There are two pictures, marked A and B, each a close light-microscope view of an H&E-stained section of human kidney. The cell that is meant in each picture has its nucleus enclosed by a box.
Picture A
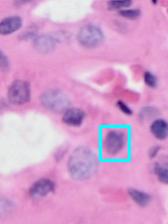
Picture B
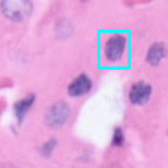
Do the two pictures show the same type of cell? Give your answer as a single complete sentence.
Yes, both are “loop of Henle or distal tubule cells”.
